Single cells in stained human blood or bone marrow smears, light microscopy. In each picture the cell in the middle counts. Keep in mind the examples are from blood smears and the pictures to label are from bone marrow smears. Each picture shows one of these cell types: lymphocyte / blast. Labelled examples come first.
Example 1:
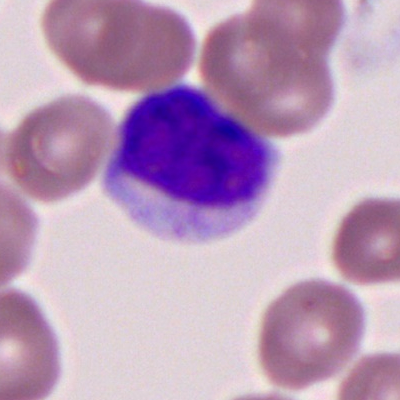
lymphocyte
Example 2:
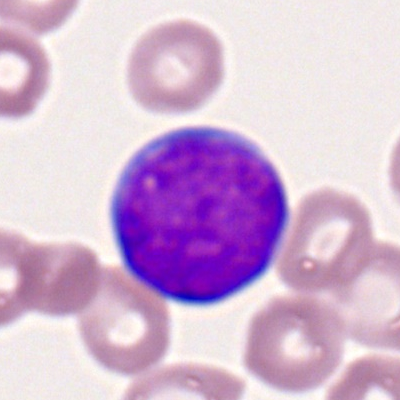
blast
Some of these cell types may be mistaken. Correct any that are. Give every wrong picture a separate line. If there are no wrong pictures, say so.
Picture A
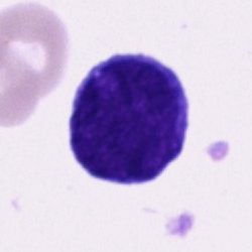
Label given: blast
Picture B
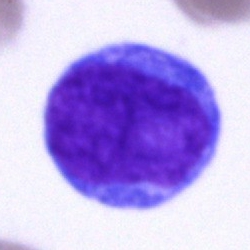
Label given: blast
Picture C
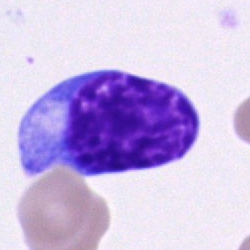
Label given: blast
All labels are correct.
